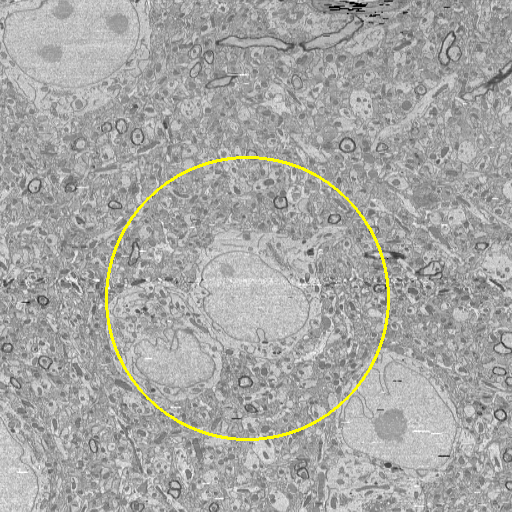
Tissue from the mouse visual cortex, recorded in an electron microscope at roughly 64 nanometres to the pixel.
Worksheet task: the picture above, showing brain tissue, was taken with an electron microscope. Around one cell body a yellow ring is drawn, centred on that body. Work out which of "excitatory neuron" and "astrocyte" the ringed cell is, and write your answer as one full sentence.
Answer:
It is an excitatory neuron whose cell body lies at the centre of the yellow ring.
